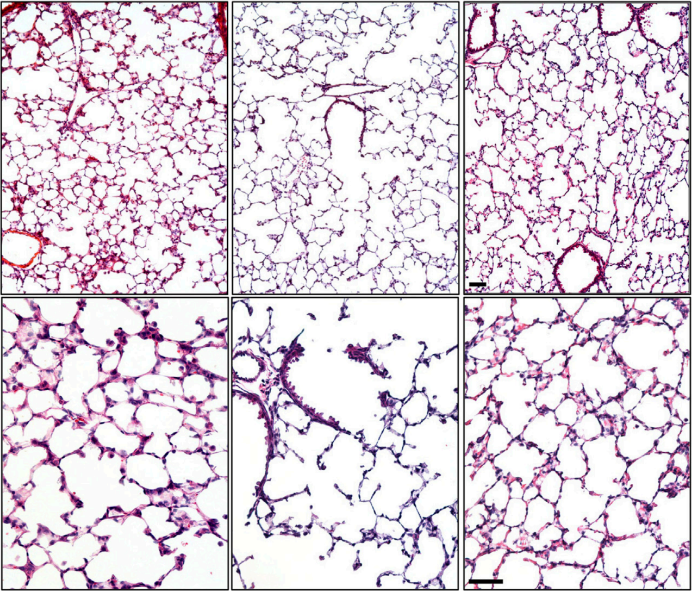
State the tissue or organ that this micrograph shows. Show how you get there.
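There is a lace-like network of thin pink septa around many empty air spaces. Round vessels and airways with thicker walls lie among the air spaces.
Answer: lung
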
